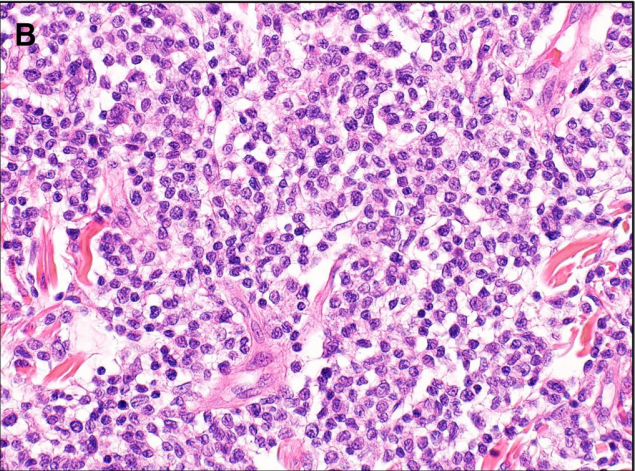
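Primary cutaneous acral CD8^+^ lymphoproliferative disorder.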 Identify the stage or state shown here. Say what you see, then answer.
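Monotonous. Closely packed cells with similar round to oval nuclei. Little variation in nuclear size and shape across the field.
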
